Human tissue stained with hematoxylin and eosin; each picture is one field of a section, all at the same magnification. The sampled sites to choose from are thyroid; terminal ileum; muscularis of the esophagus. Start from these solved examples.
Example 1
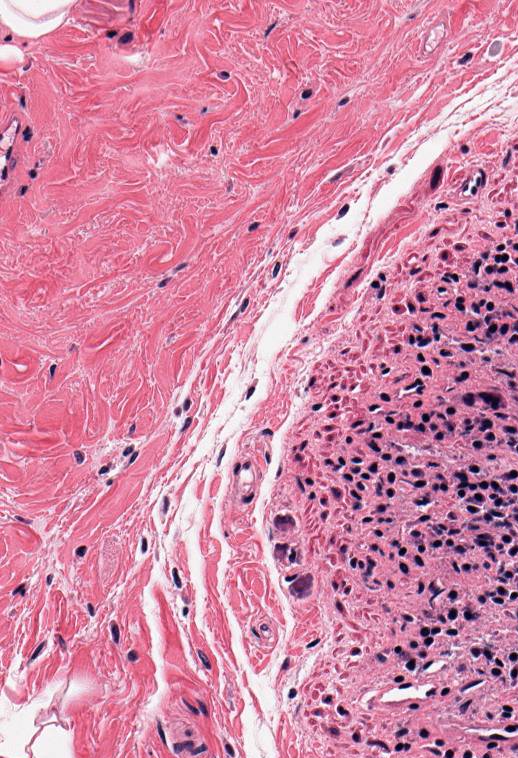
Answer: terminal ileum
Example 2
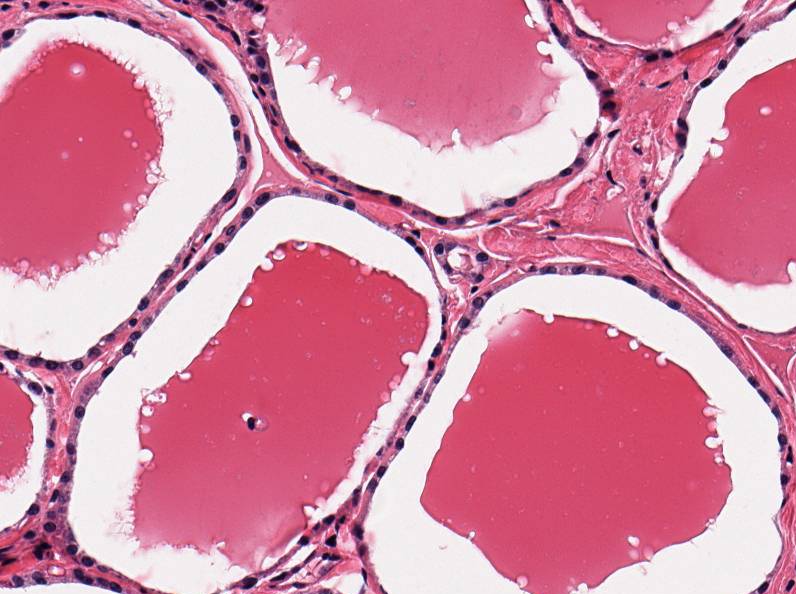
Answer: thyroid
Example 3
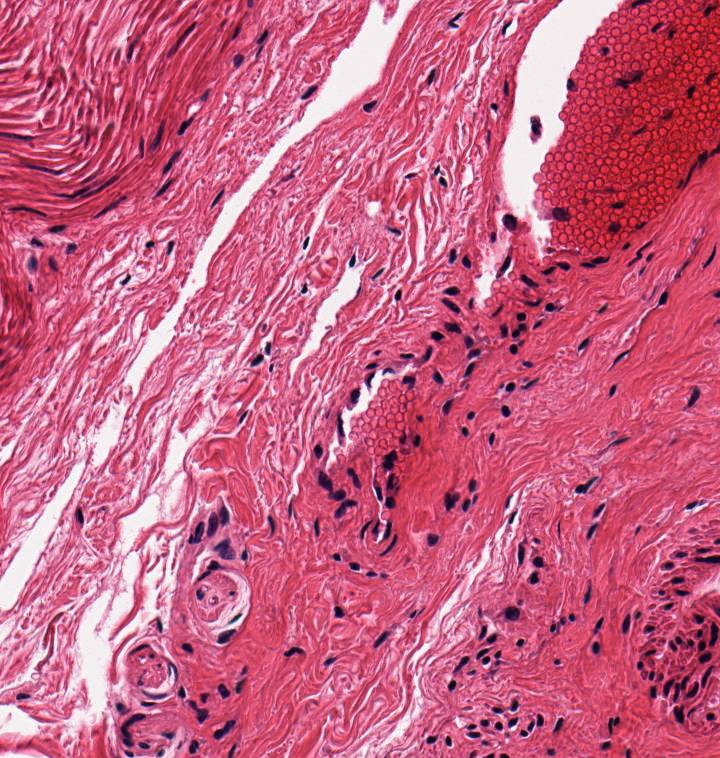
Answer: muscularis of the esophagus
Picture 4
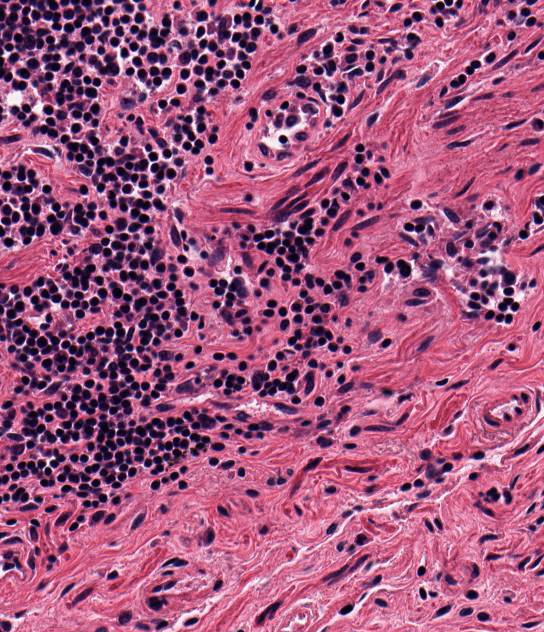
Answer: terminal ileum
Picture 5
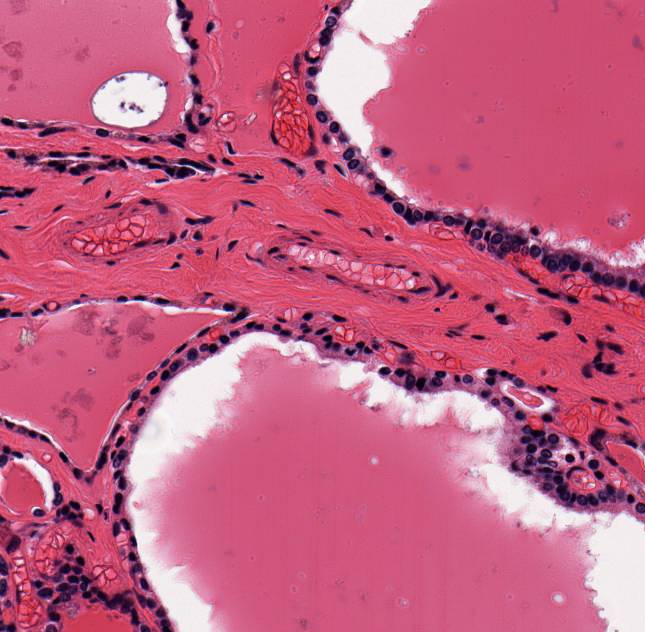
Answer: thyroid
